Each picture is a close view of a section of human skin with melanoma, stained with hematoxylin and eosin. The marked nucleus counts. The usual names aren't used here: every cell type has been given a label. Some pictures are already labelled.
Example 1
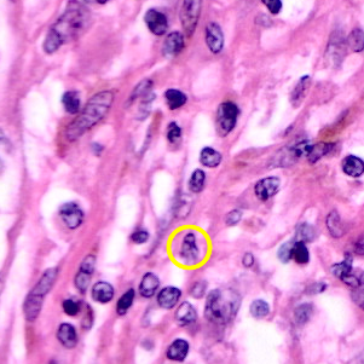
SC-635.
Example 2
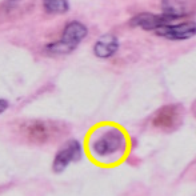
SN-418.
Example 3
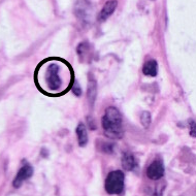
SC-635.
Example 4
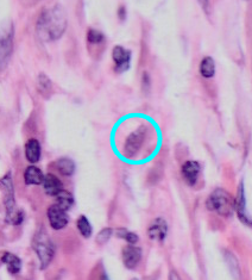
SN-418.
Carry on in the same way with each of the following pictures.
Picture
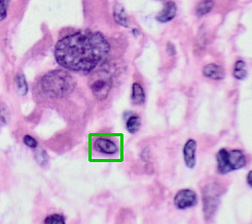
SN-418.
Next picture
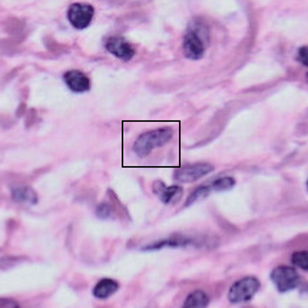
SN-418.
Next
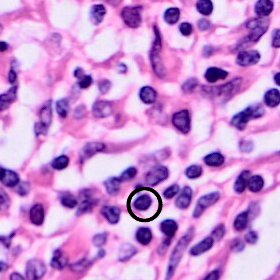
SC-635.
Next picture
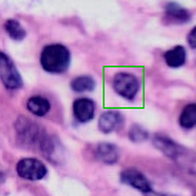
SC-635.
